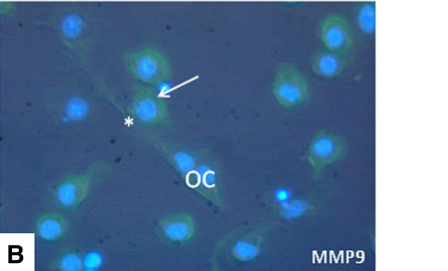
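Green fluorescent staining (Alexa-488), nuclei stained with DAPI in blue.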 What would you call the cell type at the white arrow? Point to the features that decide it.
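The arrowed cell is small and rounded. It contains one blue nucleus. Green cytoplasm surrounds the nucleus. That points to this answer: mononuclear cell.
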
